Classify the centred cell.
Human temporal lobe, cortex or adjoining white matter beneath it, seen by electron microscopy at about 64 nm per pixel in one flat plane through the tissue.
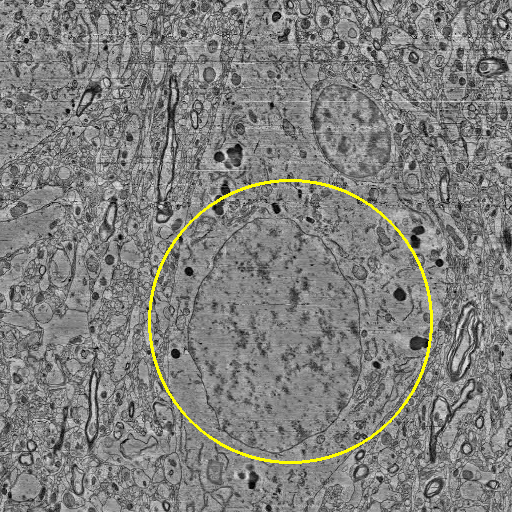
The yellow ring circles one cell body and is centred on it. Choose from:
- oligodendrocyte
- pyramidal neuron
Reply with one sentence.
The ring is centred on a pyramidal neuron.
